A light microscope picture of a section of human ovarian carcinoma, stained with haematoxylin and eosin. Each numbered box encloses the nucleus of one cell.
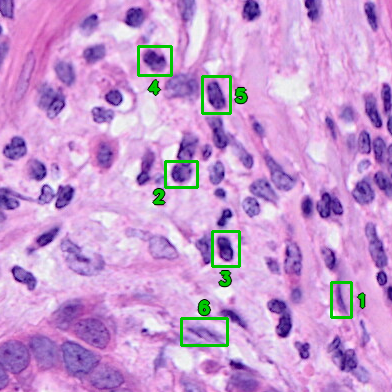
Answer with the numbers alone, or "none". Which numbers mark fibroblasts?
1, 6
